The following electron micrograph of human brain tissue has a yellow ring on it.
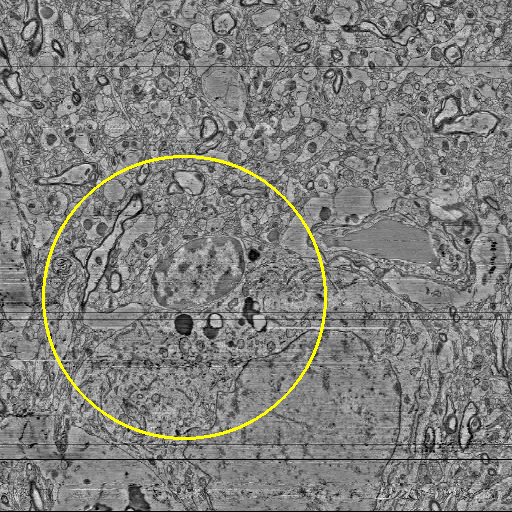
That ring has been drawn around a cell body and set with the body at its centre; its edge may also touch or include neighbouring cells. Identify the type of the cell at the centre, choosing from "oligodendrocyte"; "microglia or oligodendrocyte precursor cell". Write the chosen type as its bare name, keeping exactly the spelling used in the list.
microglia or oligodendrocyte precursor cell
